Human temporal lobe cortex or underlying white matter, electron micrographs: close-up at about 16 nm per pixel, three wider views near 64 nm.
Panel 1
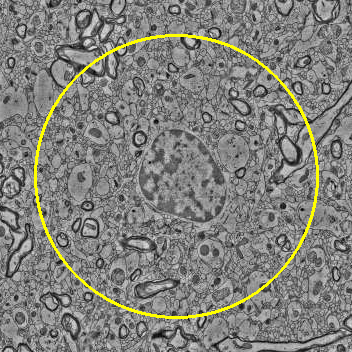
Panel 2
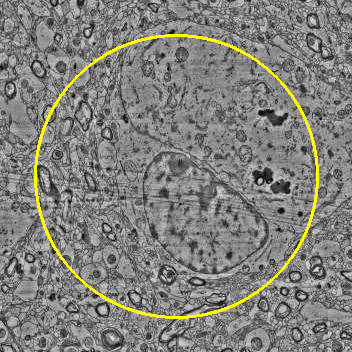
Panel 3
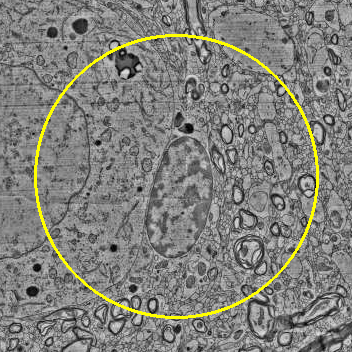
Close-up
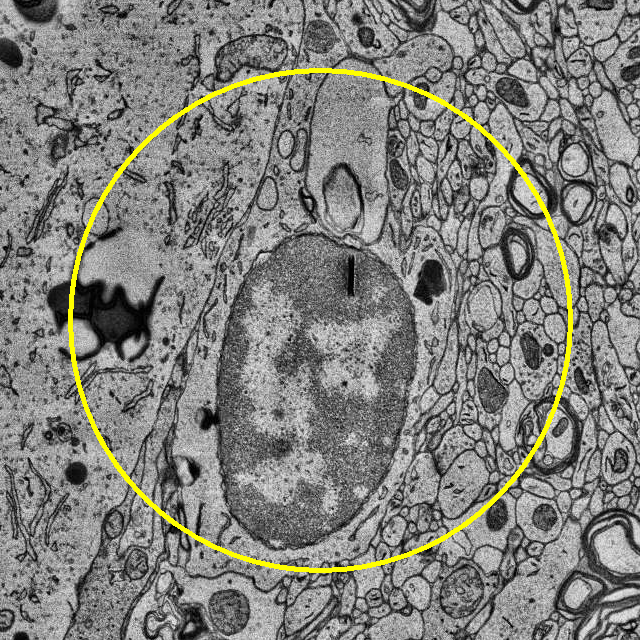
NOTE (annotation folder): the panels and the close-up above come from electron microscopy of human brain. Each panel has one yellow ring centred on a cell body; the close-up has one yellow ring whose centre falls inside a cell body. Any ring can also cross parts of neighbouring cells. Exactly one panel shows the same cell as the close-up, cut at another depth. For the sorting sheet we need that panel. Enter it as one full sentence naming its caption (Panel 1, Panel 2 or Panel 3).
The close-up pictures the cell encircled in Panel 3.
